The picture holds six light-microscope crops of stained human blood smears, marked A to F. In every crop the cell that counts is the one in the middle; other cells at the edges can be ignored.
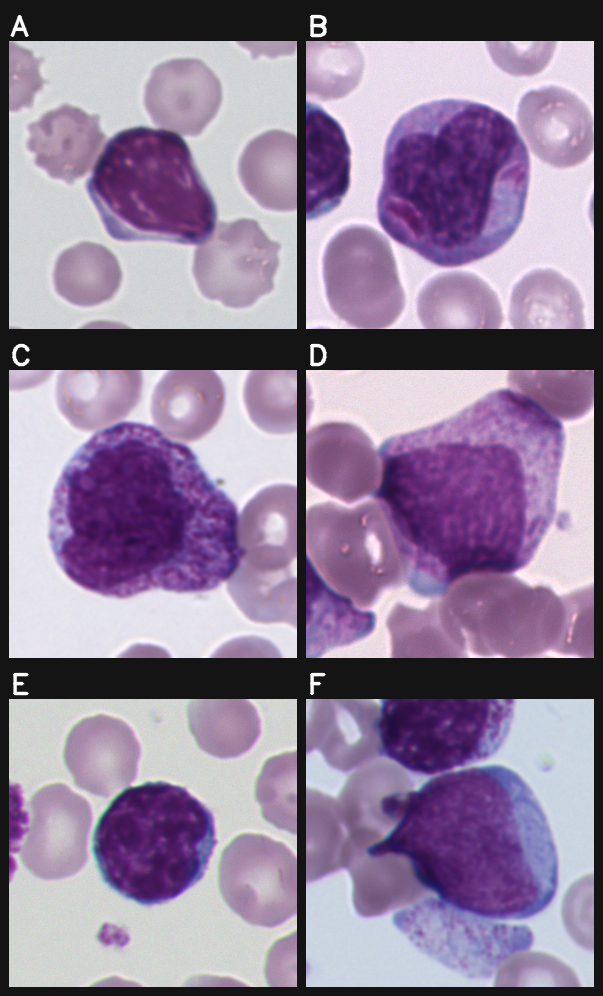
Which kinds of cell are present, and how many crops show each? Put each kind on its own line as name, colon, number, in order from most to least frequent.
atypical promyelocyte: 3
typical lymphocyte: 2
myeloblast: 1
